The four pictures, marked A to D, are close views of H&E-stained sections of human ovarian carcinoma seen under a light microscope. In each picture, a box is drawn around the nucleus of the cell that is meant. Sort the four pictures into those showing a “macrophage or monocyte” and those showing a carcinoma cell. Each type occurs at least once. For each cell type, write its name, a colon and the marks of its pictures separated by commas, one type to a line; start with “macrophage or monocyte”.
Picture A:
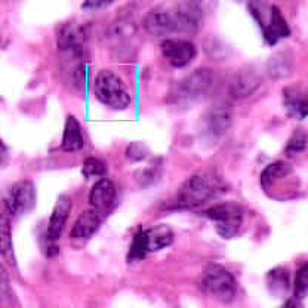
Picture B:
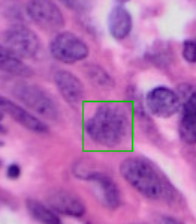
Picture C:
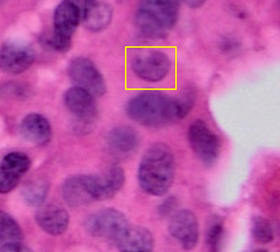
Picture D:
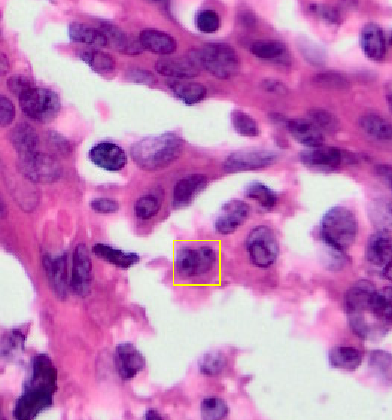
macrophage or monocyte: A, D
carcinoma cell: B, C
